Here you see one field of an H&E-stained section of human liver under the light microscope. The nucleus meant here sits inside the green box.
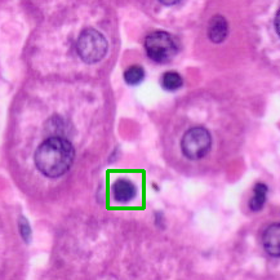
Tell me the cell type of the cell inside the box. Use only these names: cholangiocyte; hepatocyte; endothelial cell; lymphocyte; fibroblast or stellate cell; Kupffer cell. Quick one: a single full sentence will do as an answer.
In this section, the cell inside the box is a lymphocyte.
